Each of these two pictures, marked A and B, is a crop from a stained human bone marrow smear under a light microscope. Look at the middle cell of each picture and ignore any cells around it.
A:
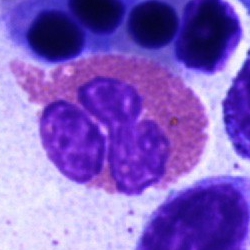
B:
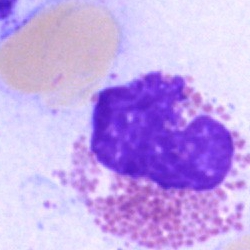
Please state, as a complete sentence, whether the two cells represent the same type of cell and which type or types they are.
Yes, both crops show eosinophils, with no exception.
